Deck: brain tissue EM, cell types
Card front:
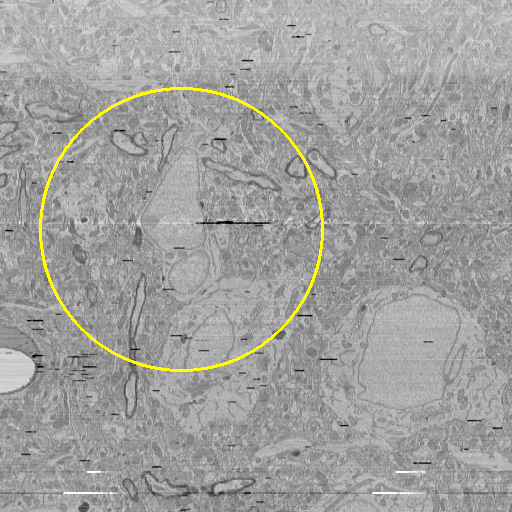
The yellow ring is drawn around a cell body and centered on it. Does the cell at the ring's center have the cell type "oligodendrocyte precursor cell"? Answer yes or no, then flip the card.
yes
